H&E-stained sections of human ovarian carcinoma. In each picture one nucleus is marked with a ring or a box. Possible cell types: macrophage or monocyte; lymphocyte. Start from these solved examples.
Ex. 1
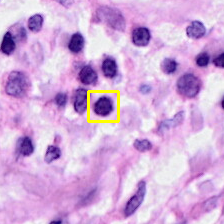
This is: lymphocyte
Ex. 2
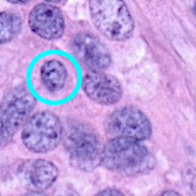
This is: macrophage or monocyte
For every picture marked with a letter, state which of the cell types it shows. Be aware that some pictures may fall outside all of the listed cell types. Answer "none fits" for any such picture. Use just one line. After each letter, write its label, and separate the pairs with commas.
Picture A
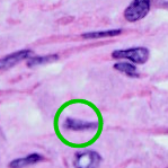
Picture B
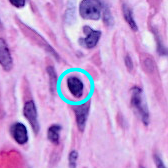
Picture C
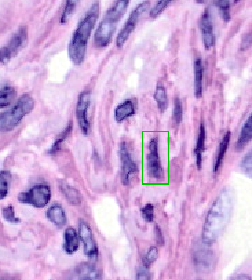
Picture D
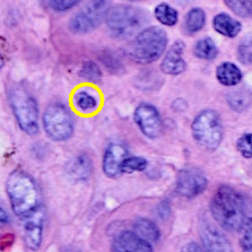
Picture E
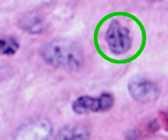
A none fits, B lymphocyte, C none fits, D lymphocyte, E macrophage or monocyte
